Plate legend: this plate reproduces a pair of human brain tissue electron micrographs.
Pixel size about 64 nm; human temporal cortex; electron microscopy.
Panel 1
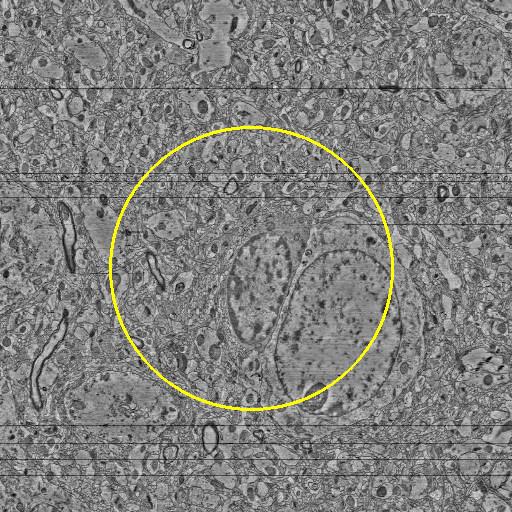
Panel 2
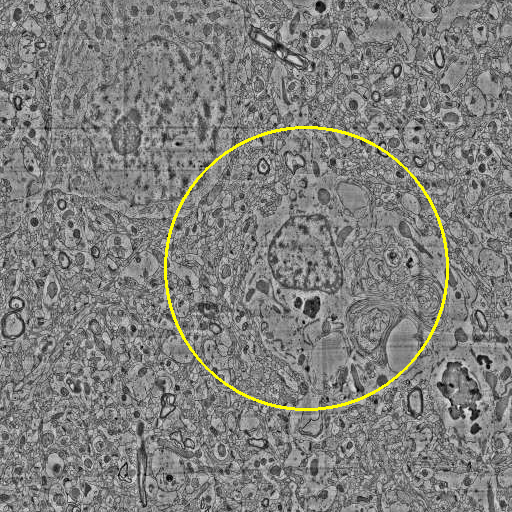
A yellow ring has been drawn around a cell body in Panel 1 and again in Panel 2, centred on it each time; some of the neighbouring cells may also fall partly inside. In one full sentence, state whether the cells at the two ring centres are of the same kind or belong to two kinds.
The ring-centred cells of Panel 1 and Panel 2 belong to two kinds.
